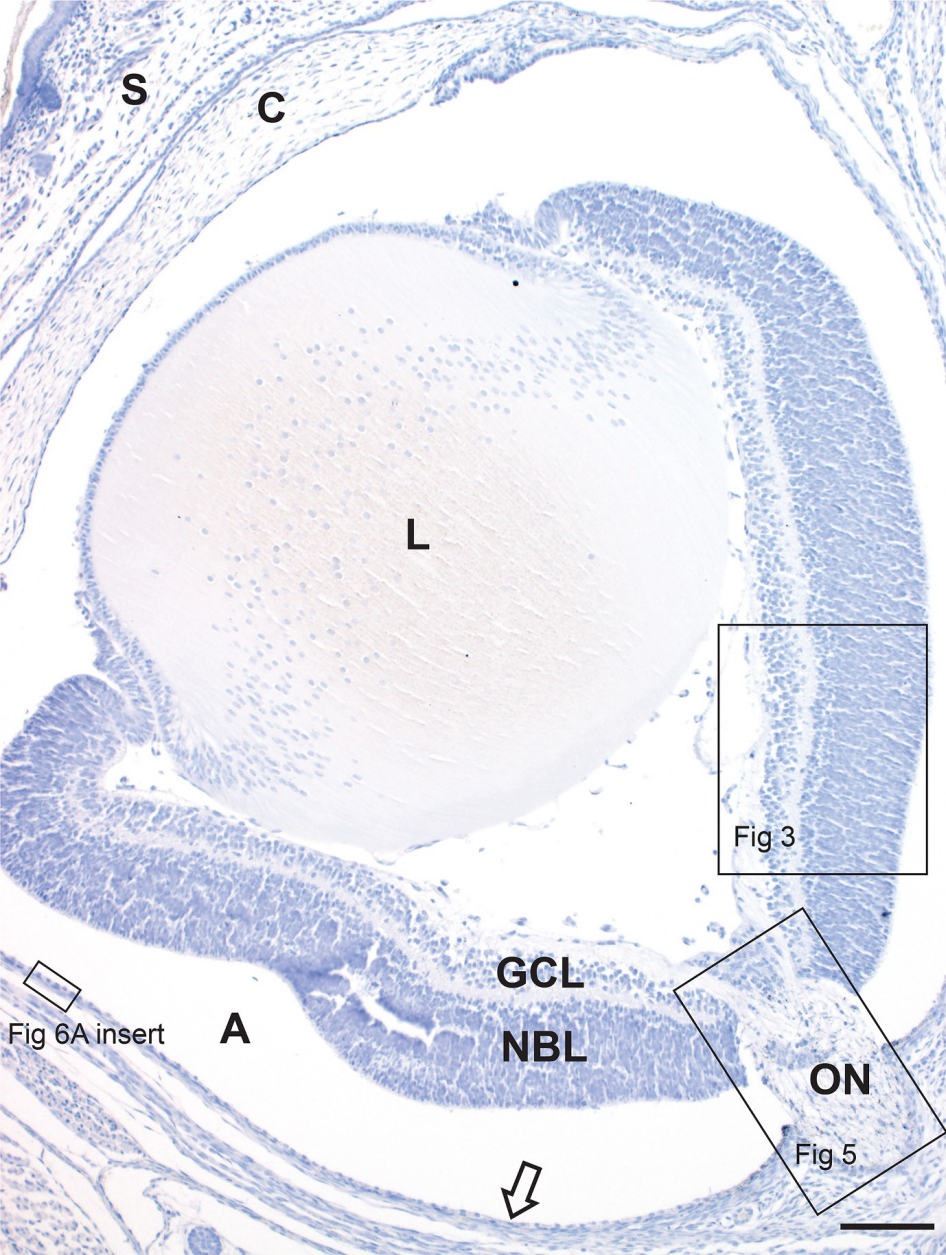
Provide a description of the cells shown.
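The large round lens fills the centre, with scattered small nuclei in its fibre mass and a row of nuclei along its front edge. The retina forms a thick cup around the lens, made of a narrow inner row of nuclei and a broad, densely packed outer layer of elongated nuclei, the two separated by a thin pale band. At the lower right a bundle of nerve tissue leaves the back of the retinal cup. A thin outer cell layer lining the eye wall is pulled away from the neural retina by a wide clear space. Anteriorly a thin layered cornea lies under a thicker skin covering.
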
